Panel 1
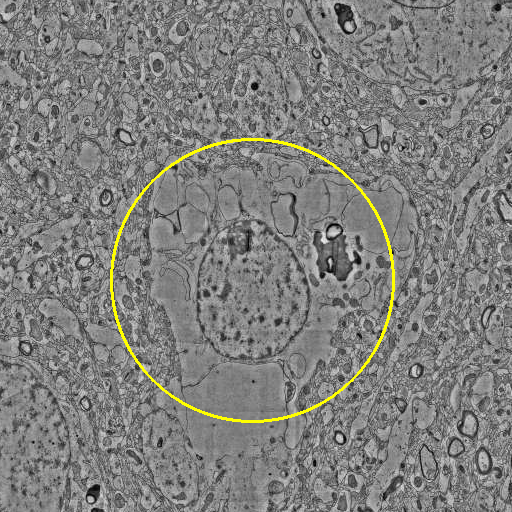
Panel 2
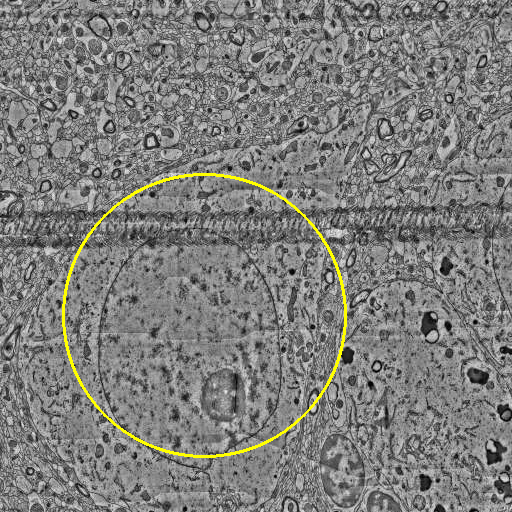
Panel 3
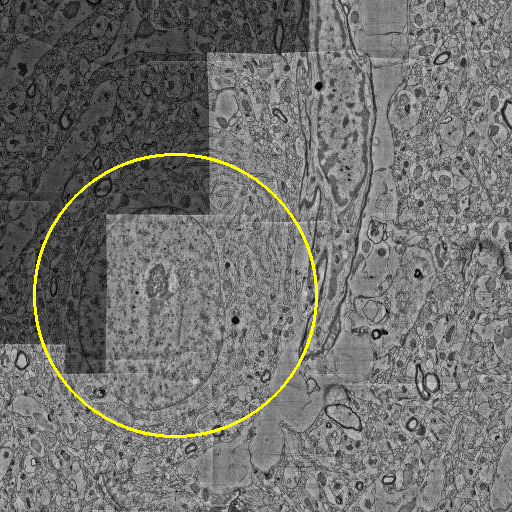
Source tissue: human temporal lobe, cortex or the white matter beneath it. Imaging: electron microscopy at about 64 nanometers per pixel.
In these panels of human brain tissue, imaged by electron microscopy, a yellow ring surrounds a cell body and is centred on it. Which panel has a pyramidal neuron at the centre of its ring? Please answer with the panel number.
2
